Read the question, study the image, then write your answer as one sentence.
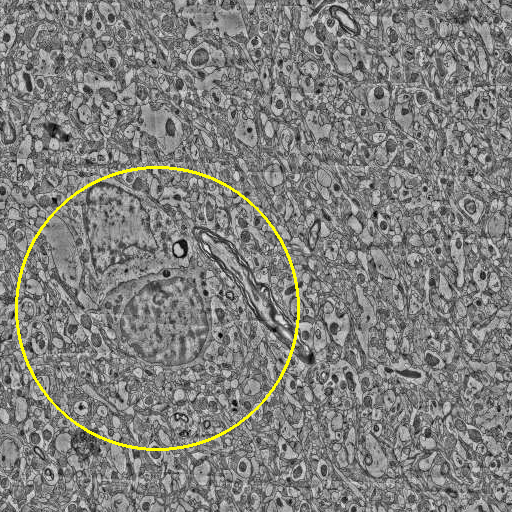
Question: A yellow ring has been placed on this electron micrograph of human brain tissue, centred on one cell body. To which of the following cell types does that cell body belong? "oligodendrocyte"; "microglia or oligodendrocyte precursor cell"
That cell body belongs to an oligodendrocyte.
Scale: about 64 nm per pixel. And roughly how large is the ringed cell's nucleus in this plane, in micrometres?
Approximately 6 x 5 micrometres in this plane.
